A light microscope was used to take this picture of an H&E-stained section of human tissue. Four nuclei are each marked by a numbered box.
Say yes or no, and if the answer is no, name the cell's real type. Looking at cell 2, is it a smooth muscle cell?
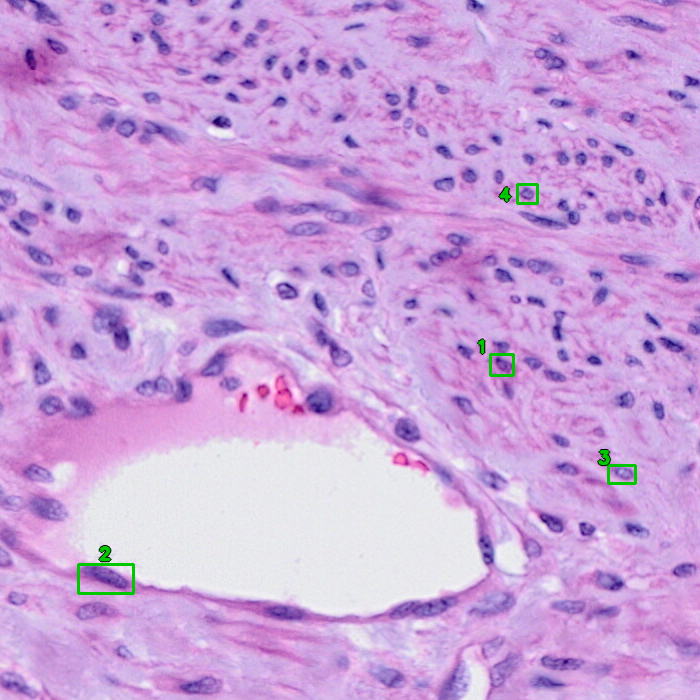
No, it is an endothelial cell.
